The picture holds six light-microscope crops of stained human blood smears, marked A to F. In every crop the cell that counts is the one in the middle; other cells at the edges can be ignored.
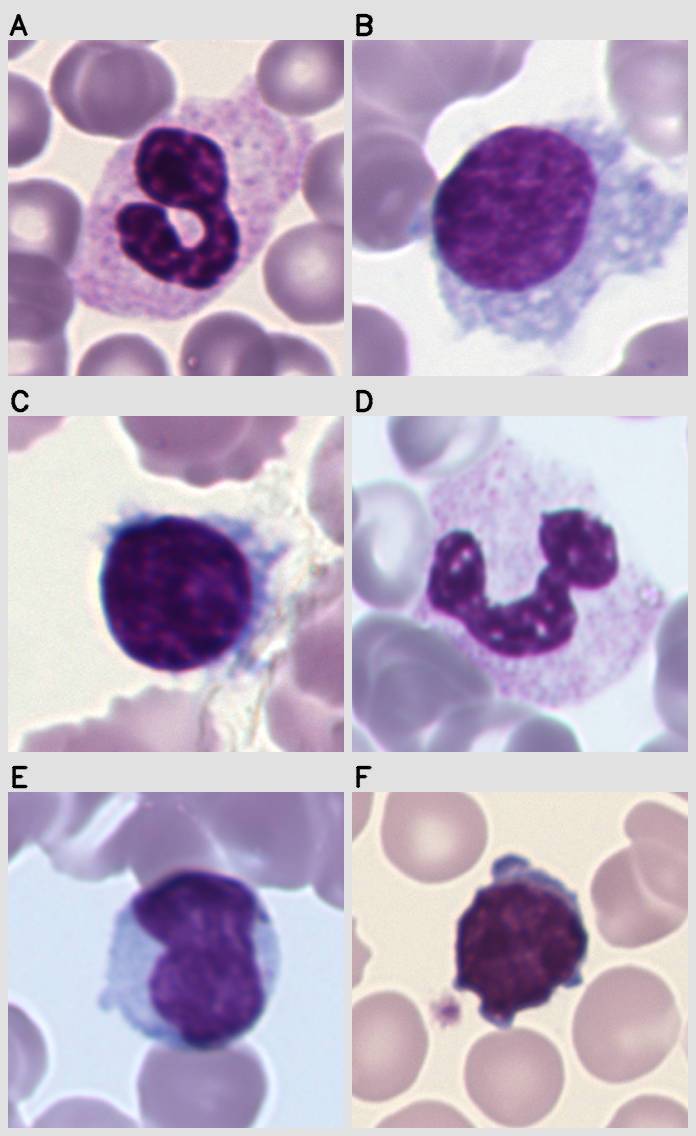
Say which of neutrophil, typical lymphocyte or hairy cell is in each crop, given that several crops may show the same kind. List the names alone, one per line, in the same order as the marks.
neutrophil
hairy cell
hairy cell
neutrophil
typical lymphocyte
typical lymphocyte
